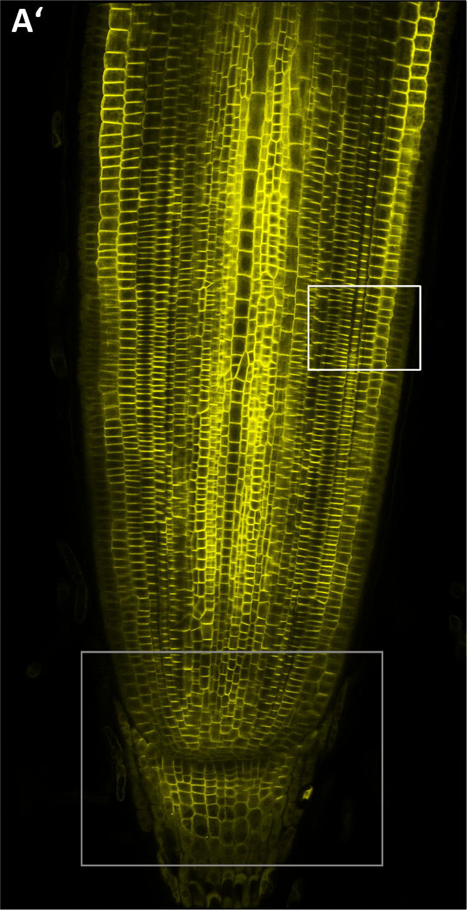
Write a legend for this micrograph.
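Longitudinal optical section of a root meristem in which yellow fluorescence outlines the cell walls and membranes of many longitudinal files of small, rectangular, tightly packed cells. Central files are narrow and elongated and fluoresce most brightly; files toward the flanks are wider and boxier. The files taper and converge toward the tip, where a transverse boundary separates them from the cap region, made of tiers of cells below. A few loose, sloughed cells lie beside the tip in the dark background.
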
